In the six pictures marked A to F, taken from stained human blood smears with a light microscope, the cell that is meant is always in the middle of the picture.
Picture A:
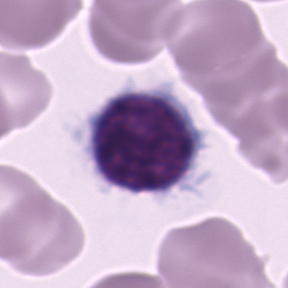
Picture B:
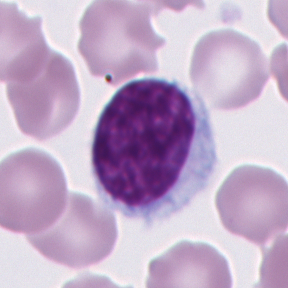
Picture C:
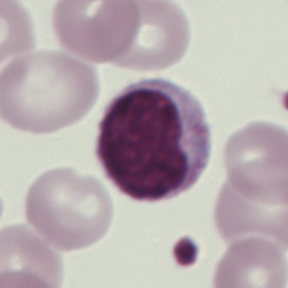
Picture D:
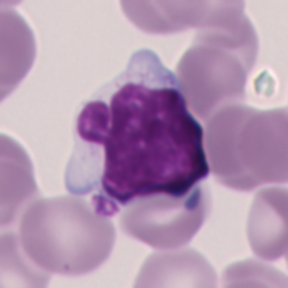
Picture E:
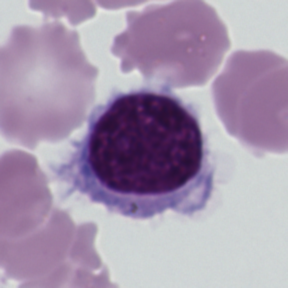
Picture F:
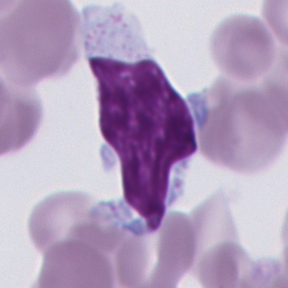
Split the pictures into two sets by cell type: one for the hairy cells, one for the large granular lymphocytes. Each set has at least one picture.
A: hairy cell
B: hairy cell
C: large granular lymphocyte
D: large granular lymphocyte
E: hairy cell
F: large granular lymphocyte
